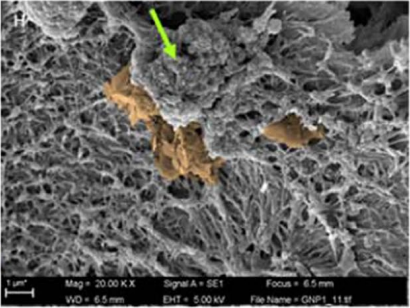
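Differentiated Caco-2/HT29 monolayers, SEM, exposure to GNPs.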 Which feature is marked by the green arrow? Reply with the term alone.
mucus accumulations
